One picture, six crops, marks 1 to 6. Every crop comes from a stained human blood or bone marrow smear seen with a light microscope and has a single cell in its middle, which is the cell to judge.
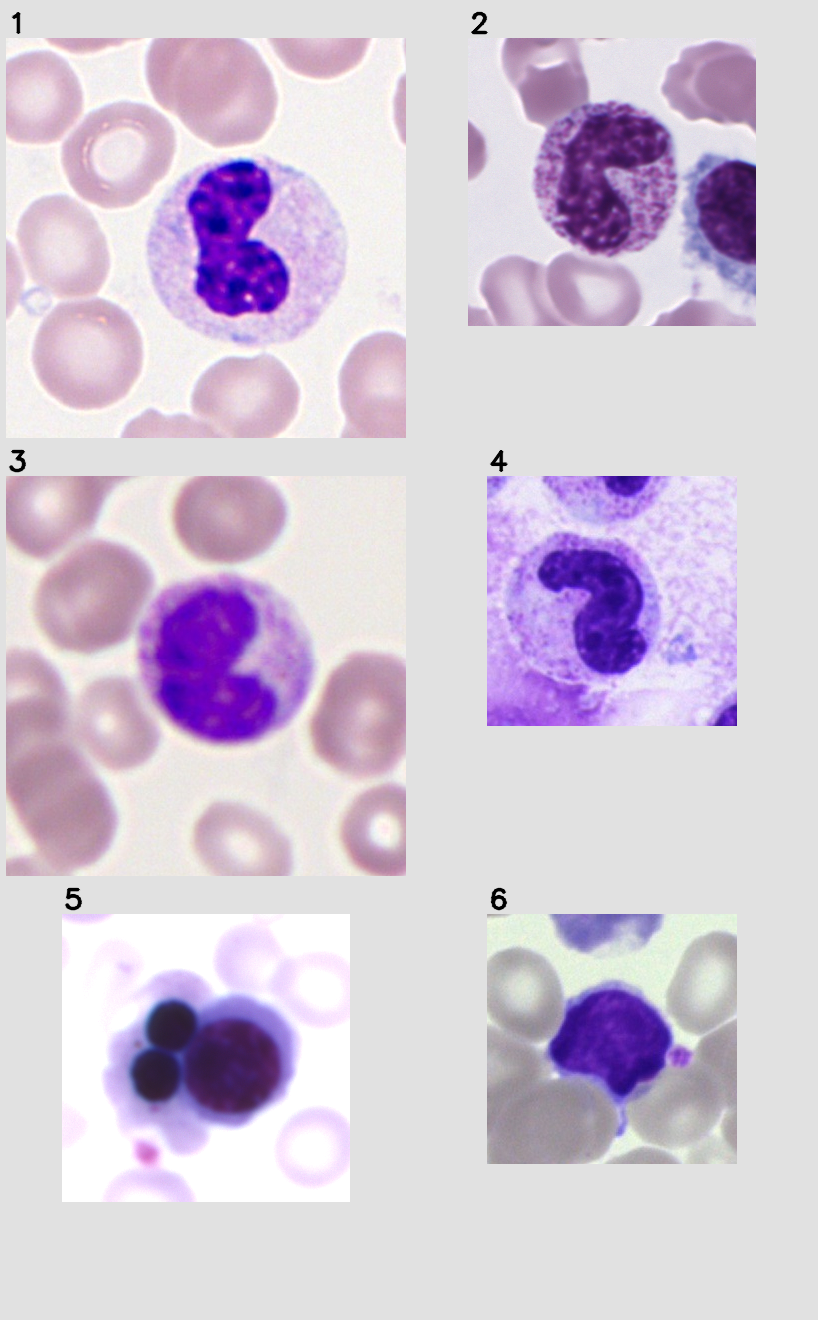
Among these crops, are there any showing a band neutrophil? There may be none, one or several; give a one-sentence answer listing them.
Showing band neutrophils at the centre are crops 1, 2, 3 and 4.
